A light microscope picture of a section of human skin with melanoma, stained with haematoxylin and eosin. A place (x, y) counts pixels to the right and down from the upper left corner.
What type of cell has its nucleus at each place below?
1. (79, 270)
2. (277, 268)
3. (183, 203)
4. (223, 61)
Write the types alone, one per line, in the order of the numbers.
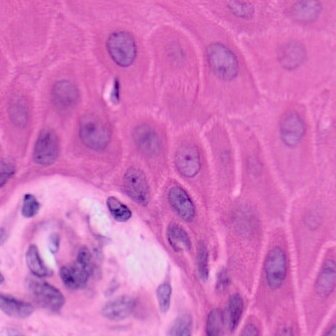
endothelial cell
keratinocyte
keratinocyte
keratinocyte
